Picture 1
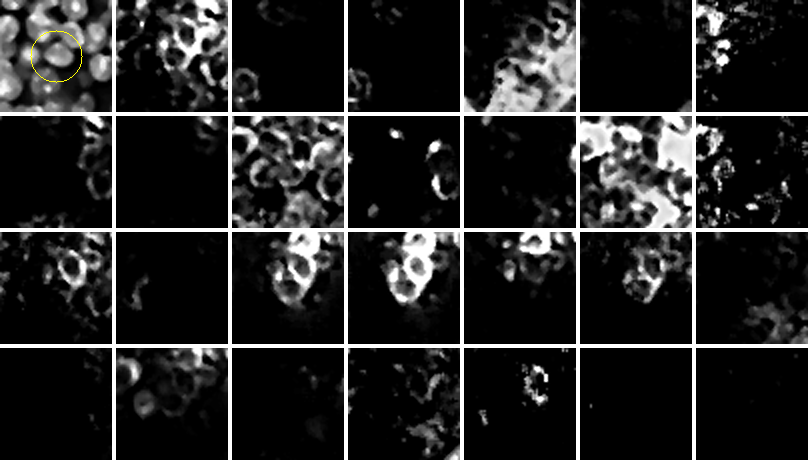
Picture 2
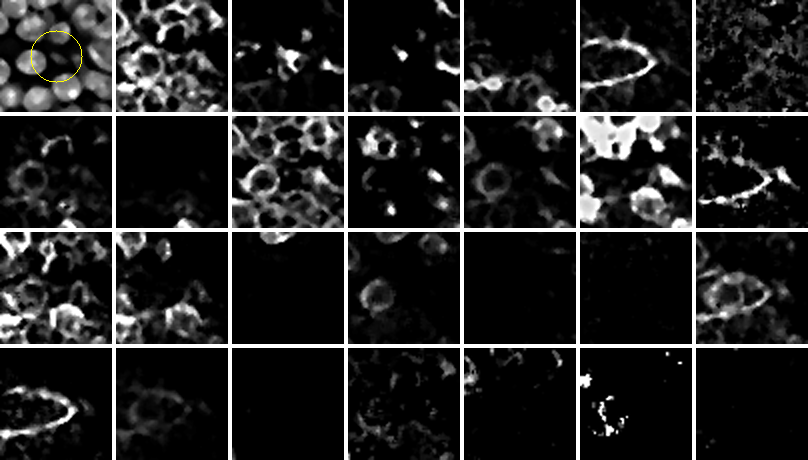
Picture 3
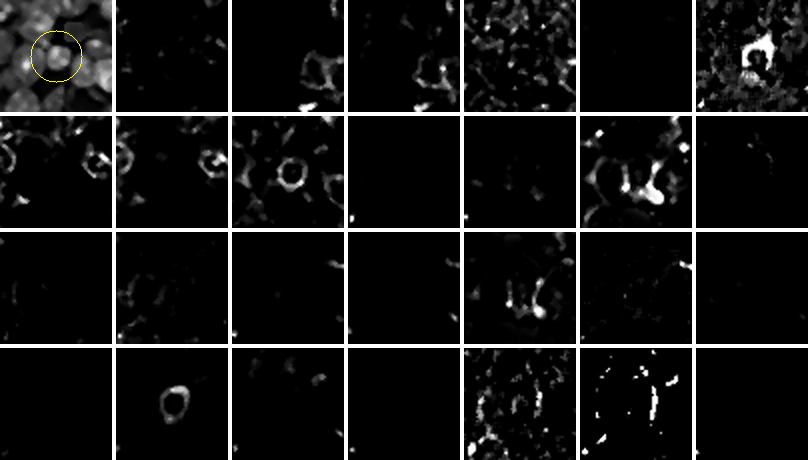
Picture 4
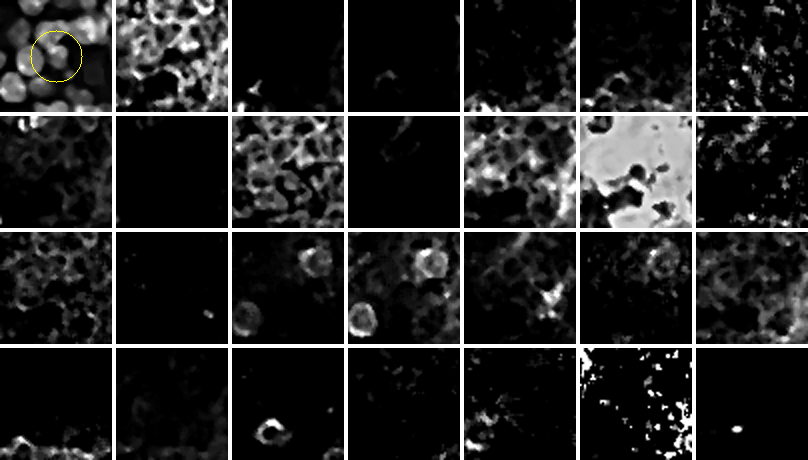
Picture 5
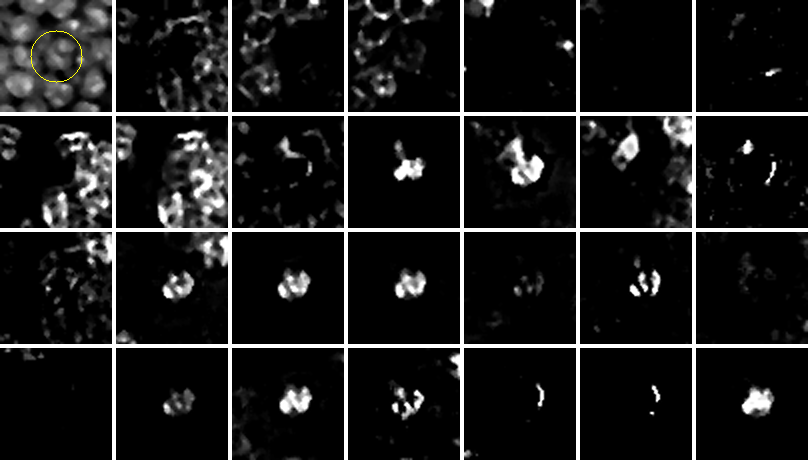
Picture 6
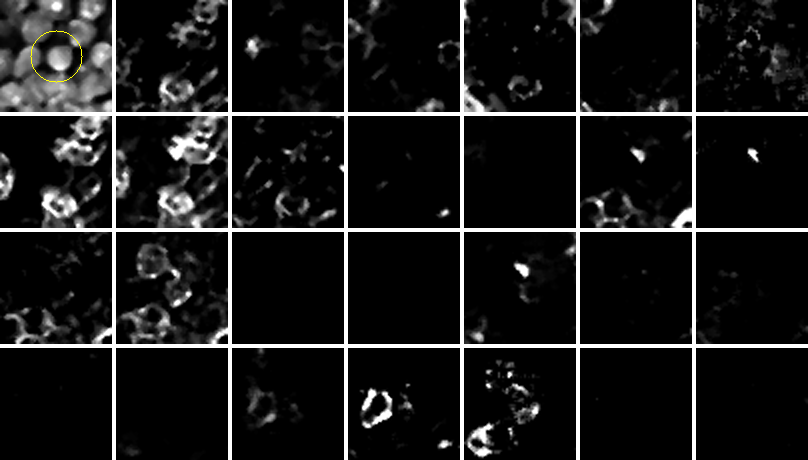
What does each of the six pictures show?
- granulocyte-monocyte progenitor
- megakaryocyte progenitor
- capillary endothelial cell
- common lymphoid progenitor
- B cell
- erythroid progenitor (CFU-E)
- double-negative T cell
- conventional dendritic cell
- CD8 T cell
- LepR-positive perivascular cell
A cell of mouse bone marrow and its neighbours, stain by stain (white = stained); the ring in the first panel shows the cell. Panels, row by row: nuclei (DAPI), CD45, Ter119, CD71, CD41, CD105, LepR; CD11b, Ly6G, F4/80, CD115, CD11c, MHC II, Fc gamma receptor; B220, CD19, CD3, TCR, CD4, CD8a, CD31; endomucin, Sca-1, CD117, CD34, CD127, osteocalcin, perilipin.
1. CD8 T cell
2. capillary endothelial cell
3. LepR-positive perivascular cell
4. conventional dendritic cell
5. CD8 T cell
6. common lymphoid progenitor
